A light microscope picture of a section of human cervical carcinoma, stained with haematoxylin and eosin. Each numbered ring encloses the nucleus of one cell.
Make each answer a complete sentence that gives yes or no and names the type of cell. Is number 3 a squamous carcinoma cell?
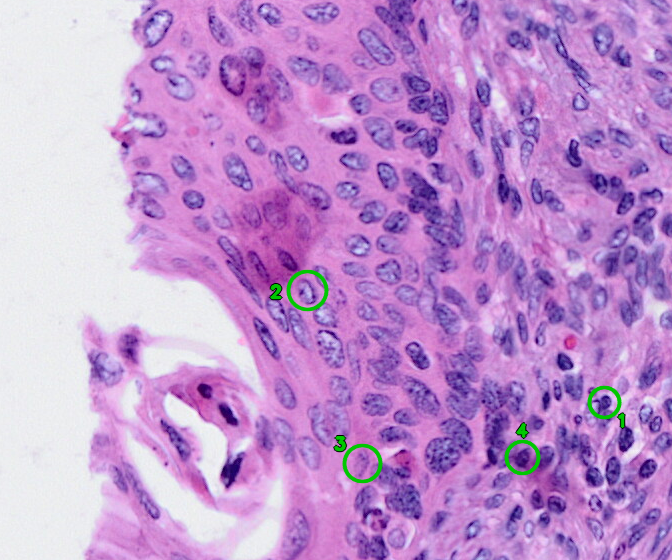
Yes, the numbered nucleus 3 is that of a squamous carcinoma cell.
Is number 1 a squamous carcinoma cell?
No, cell 1 is not a squamous carcinoma cell. It is a lymphocyte.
